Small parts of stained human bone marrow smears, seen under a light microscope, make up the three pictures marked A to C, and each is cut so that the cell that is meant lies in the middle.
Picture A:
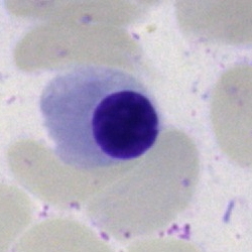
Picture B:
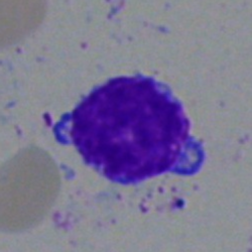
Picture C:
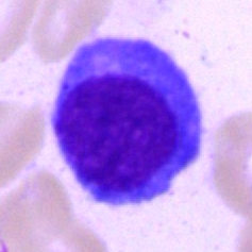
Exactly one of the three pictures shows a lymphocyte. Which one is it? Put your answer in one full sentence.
Picture B is the one that shows the lymphocyte.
